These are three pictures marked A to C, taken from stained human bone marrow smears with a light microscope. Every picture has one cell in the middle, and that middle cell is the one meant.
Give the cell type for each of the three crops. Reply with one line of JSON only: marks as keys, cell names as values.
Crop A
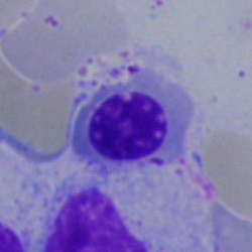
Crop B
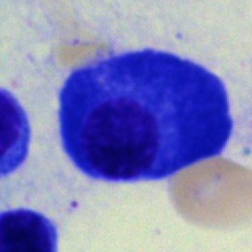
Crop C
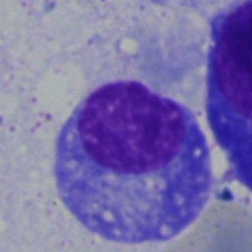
{"A": "normoblast", "B": "plasma cell", "C": "plasma cell"}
